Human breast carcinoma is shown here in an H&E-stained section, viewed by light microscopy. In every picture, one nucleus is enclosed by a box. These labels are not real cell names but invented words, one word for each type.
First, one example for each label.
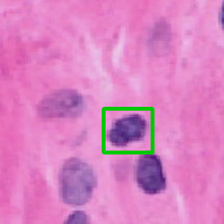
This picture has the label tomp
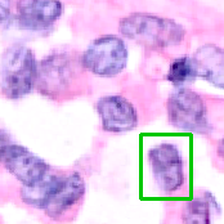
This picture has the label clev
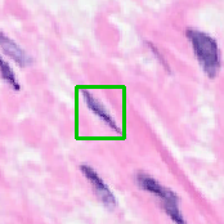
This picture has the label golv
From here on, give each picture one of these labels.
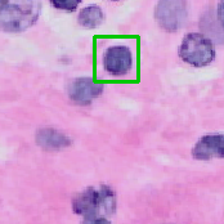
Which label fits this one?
tomp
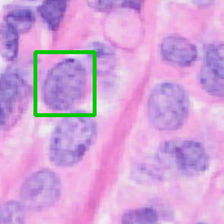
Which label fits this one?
clev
